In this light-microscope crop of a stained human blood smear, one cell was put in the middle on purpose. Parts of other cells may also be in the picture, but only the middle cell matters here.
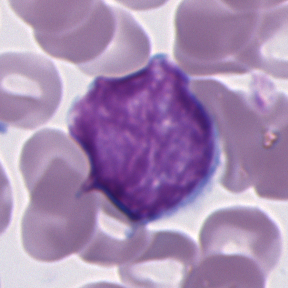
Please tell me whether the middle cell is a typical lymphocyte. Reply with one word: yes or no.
no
